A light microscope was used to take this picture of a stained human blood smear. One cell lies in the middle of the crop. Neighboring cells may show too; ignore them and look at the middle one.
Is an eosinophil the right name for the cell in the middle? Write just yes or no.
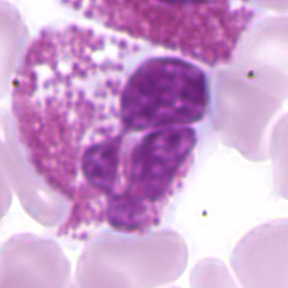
yes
